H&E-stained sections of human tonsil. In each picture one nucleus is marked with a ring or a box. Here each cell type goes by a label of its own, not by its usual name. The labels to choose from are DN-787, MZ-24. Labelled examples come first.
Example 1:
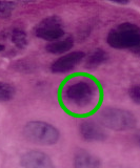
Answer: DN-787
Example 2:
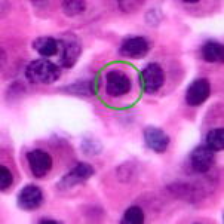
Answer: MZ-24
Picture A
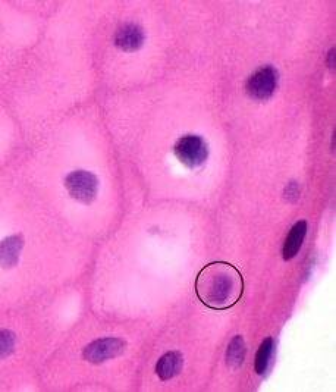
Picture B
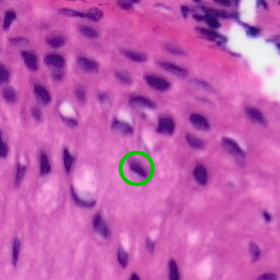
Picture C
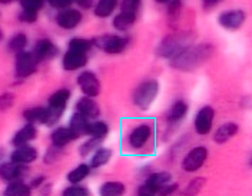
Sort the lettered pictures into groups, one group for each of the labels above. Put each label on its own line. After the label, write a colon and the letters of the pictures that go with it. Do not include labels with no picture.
DN-787: A, B
MZ-24: C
